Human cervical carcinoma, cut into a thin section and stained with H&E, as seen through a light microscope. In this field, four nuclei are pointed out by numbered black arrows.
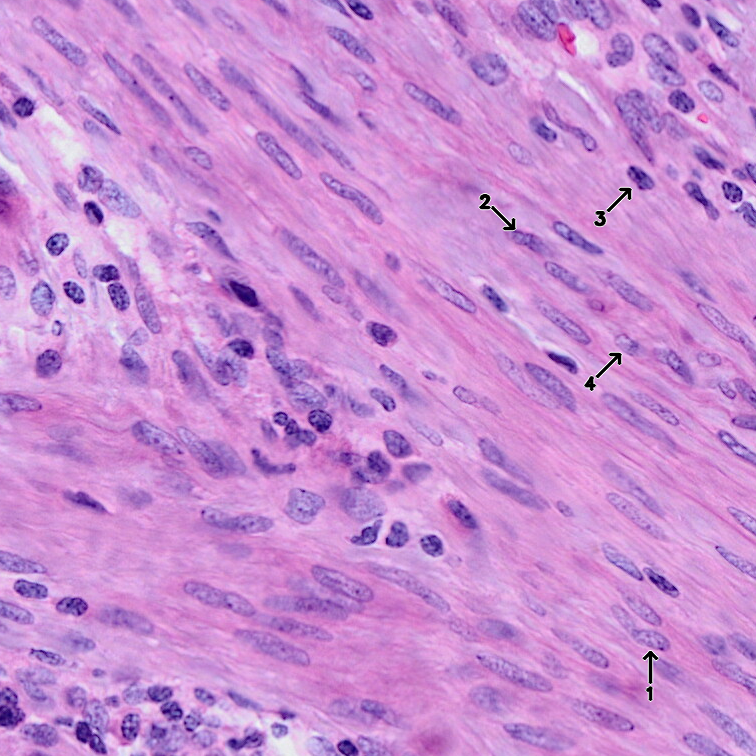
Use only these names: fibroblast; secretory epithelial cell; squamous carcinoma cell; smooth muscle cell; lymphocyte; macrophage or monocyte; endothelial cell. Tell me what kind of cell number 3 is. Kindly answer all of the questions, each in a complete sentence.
Heads up, the cell numbered 3 is a lymphocyte.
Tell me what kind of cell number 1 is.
The nucleus marked 1 is the nucleus of a smooth muscle cell.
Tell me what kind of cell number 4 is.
Numbered cell 4 is a smooth muscle cell in this tissue section.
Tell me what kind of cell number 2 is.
The cell referred to as 2 is a smooth muscle cell.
